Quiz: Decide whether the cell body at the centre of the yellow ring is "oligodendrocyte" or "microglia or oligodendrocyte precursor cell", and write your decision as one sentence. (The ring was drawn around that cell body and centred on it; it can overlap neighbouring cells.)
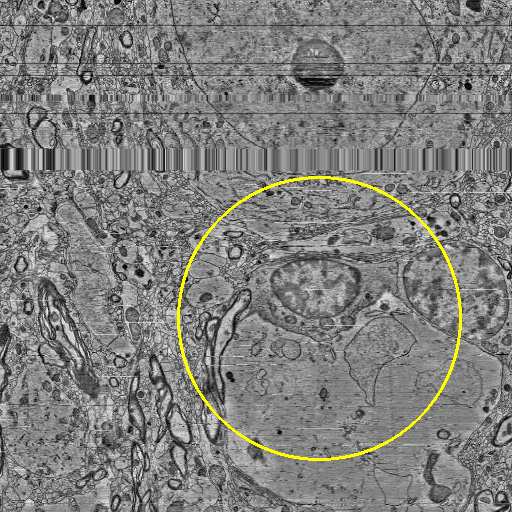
The cell the ring is centred on is an oligodendrocyte.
